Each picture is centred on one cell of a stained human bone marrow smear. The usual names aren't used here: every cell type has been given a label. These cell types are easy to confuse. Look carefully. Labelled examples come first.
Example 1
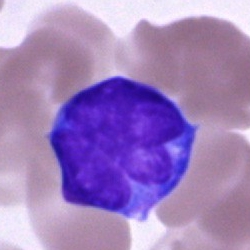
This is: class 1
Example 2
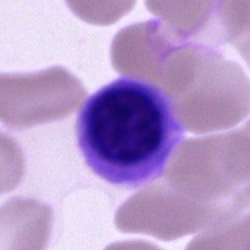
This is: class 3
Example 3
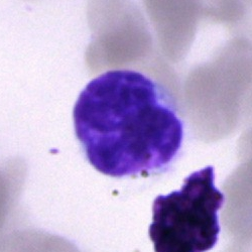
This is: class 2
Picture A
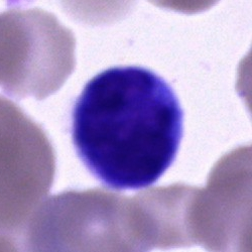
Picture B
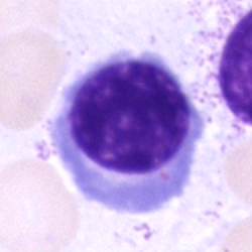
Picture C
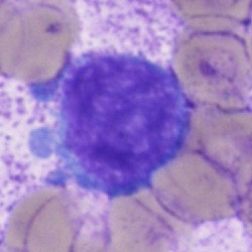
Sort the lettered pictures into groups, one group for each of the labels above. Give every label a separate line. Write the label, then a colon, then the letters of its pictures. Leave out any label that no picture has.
class 1: C
class 3: B
class 2: A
